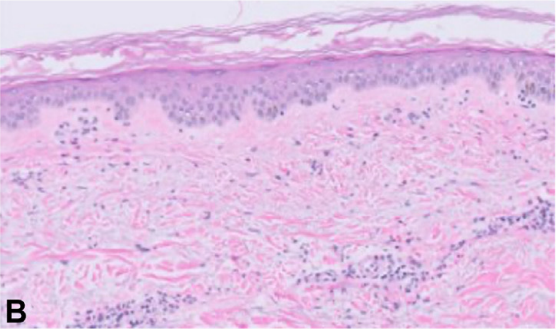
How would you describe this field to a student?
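Skin with a thin epidermis beneath basket-weave keratin, over a dermis of pink collagen. Inflammatory cells with small dark nuclei are scattered between the collagen bundles and gather in loose clusters in the mid and deeper dermis.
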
